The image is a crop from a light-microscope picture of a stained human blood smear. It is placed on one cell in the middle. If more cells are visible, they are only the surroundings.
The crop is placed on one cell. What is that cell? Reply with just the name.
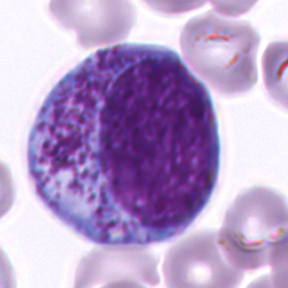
promyelocyte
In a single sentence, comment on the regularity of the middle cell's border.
If you check the edge, you will find it smooth without projections.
